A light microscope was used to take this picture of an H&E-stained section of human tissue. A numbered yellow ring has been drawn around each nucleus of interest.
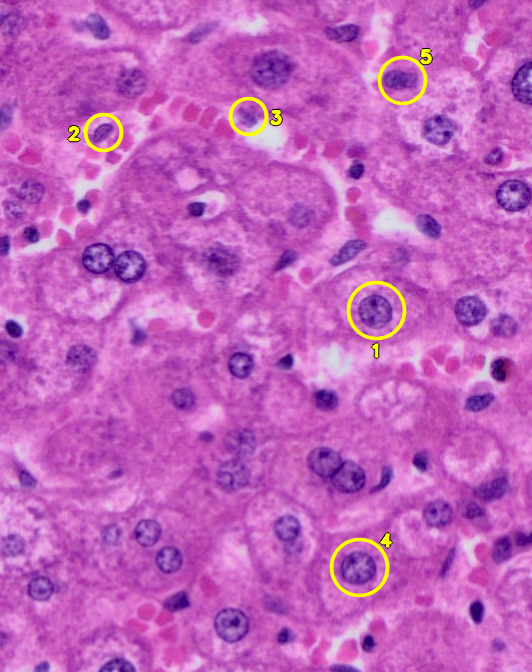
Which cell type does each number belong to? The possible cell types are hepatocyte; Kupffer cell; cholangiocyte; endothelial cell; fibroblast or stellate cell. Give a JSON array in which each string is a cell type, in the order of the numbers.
["hepatocyte", "Kupffer cell", "endothelial cell", "hepatocyte", "Kupffer cell"]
